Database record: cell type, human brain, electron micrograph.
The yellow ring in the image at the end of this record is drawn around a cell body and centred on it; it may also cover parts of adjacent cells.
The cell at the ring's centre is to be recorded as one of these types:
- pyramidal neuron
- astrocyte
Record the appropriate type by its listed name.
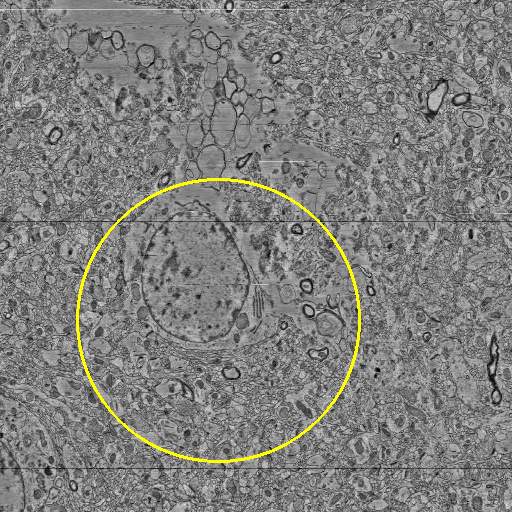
astrocyte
